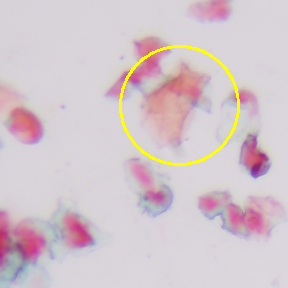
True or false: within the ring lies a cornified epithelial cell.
True: a cornified epithelial cell lies within the ring.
